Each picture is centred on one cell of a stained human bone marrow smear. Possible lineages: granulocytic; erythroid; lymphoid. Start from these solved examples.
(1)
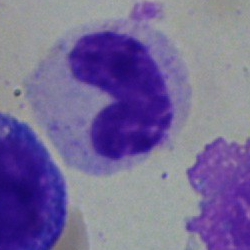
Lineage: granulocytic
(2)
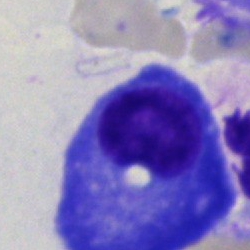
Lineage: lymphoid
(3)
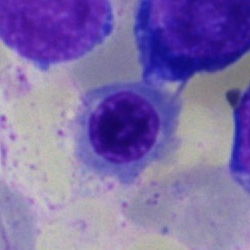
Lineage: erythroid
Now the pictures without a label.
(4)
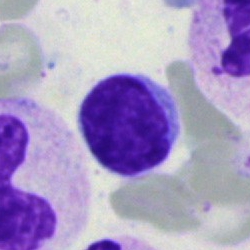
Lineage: lymphoid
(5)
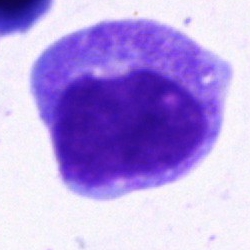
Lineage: granulocytic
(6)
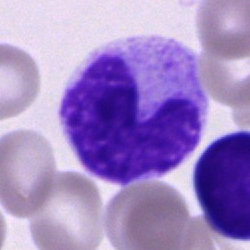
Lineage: granulocytic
